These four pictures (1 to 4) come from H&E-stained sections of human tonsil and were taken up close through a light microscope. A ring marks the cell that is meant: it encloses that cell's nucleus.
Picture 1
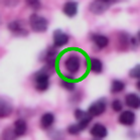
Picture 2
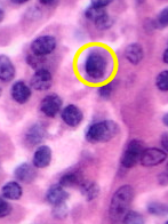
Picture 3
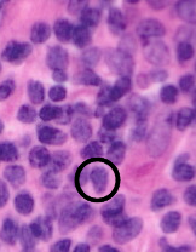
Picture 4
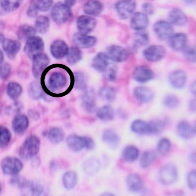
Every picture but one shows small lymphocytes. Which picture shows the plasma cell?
2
